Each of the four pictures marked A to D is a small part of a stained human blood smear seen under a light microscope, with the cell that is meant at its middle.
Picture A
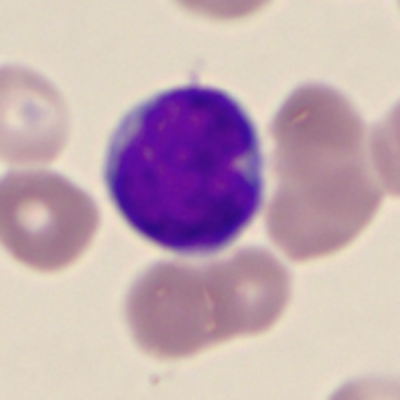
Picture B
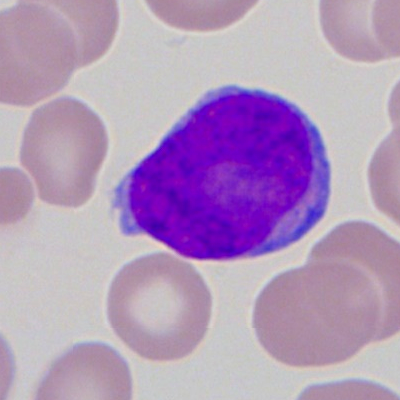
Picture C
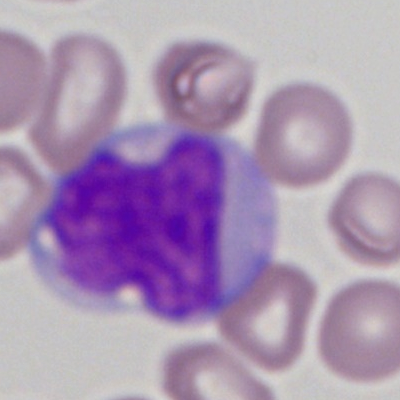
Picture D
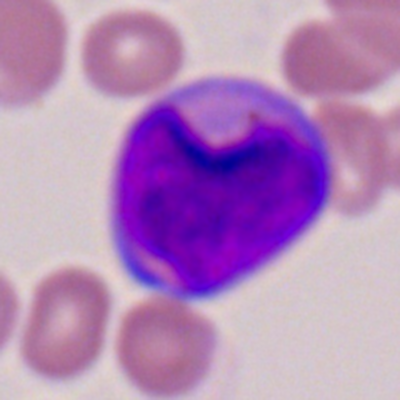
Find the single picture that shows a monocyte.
C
